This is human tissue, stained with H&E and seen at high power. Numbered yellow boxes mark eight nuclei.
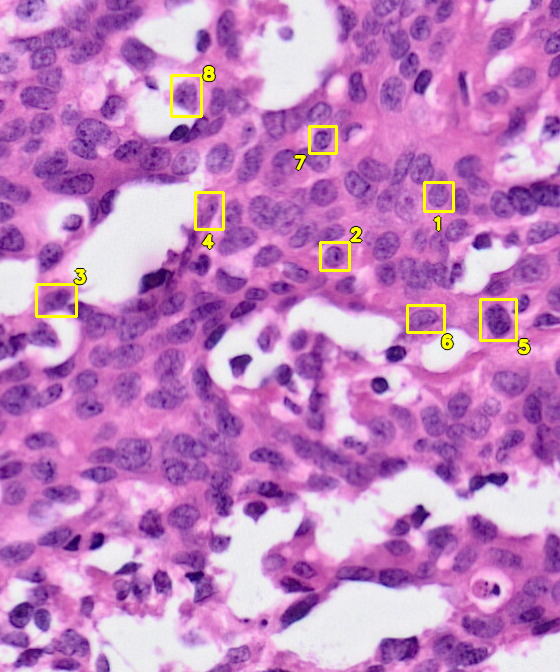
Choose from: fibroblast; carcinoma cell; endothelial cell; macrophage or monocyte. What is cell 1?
carcinoma cell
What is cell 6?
carcinoma cell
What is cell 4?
macrophage or monocyte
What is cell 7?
macrophage or monocyte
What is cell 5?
carcinoma cell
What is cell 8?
macrophage or monocyte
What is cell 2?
macrophage or monocyte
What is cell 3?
carcinoma cell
